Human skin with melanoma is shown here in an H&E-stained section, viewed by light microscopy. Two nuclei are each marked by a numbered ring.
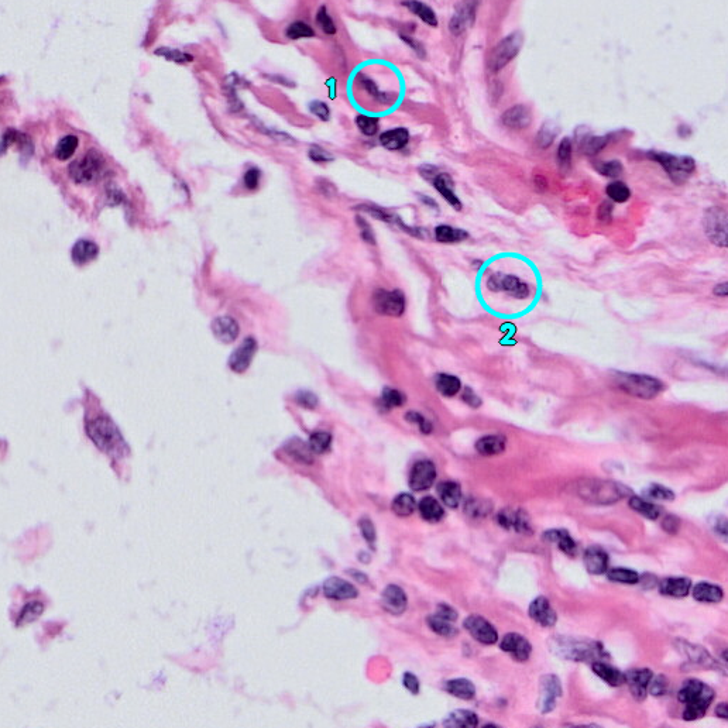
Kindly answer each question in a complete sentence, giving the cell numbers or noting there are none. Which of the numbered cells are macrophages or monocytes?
Only the cell numbered 2 is a macrophage or monocyte; none of the others is.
